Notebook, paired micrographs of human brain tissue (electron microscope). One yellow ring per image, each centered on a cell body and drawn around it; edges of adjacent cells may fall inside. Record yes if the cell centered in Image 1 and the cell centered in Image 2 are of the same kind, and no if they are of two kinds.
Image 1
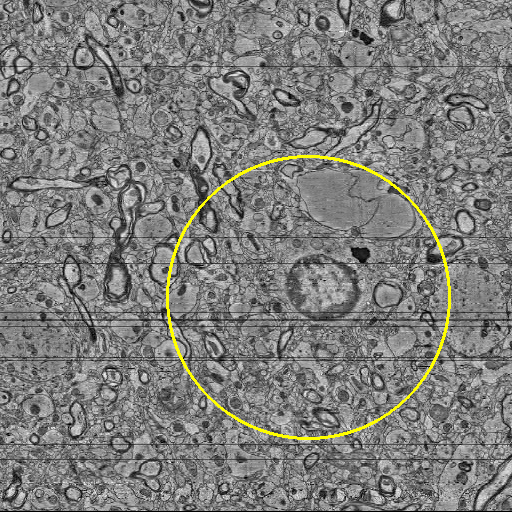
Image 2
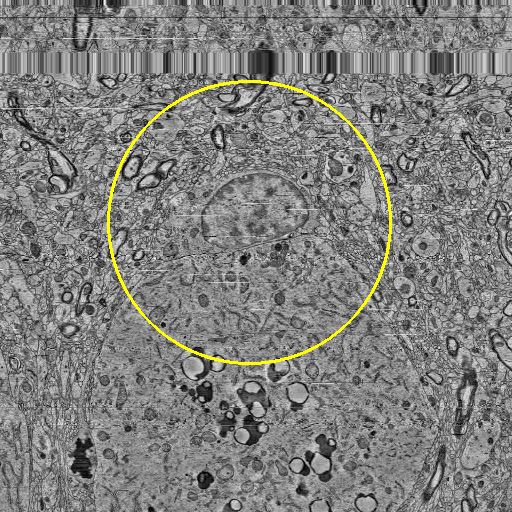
yes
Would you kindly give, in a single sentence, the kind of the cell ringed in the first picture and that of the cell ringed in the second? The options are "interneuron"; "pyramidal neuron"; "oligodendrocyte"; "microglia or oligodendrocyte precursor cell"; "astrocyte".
Both cells are the same kind, each one being an oligodendrocyte.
